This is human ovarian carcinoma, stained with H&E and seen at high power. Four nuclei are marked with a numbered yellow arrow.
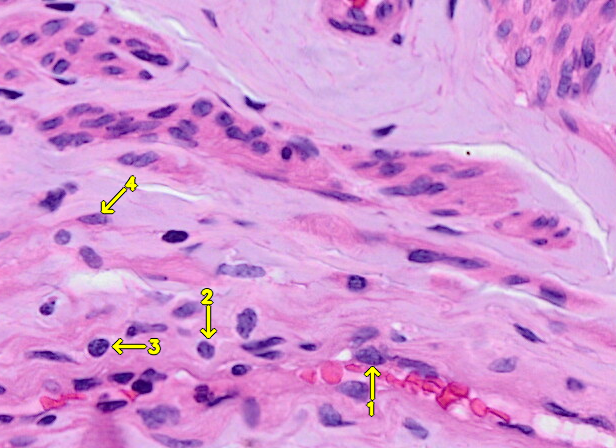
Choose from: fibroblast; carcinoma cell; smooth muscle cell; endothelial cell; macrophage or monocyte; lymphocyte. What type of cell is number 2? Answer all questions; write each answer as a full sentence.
Identified by the number 2, the cell is a lymphocyte.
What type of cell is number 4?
In the tissue shown, cell 4 is a smooth muscle cell.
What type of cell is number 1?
Cell 1, as marked in the section, is an endothelial cell.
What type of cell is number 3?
The identity of cell 3 is that of a lymphocyte.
